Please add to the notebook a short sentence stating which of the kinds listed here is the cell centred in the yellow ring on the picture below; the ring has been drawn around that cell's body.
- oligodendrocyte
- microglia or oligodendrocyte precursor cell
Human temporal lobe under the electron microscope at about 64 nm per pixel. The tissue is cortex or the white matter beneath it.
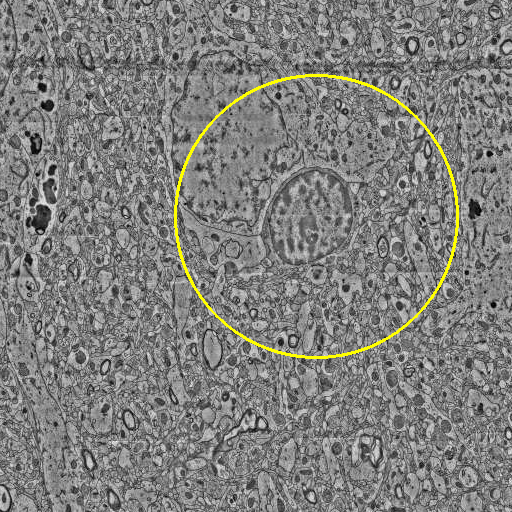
The cell centred in the yellow ring is an oligodendrocyte.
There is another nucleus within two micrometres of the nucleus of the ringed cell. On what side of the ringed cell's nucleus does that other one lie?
The other nucleus is situated to the left of it.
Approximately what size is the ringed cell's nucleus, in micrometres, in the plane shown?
In this plane, roughly 6 by 5 micrometres.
